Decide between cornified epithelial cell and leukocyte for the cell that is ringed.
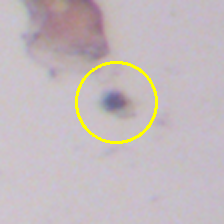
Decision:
I take the ringed cell for a leukocyte.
